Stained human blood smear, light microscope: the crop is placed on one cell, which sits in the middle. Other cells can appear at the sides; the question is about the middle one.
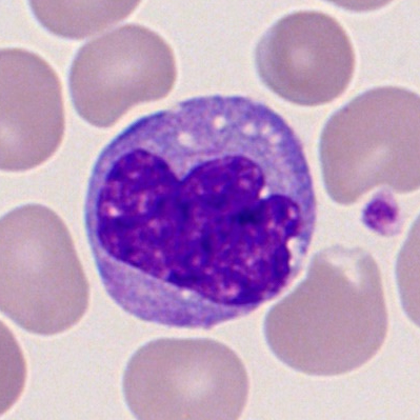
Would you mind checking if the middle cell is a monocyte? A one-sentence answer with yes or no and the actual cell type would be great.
Yes, in the centre of this field sits a monocyte.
